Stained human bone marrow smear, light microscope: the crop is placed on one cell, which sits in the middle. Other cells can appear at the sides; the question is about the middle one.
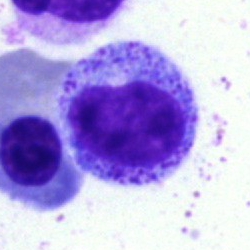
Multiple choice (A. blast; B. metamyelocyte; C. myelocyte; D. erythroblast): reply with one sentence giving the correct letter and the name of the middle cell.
With the cell in the middle being a myelocyte, option C is the correct choice.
